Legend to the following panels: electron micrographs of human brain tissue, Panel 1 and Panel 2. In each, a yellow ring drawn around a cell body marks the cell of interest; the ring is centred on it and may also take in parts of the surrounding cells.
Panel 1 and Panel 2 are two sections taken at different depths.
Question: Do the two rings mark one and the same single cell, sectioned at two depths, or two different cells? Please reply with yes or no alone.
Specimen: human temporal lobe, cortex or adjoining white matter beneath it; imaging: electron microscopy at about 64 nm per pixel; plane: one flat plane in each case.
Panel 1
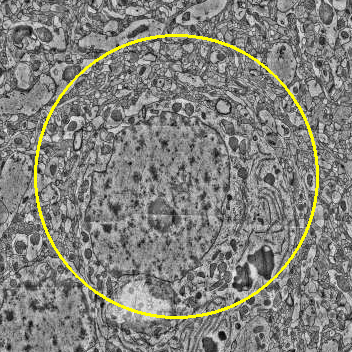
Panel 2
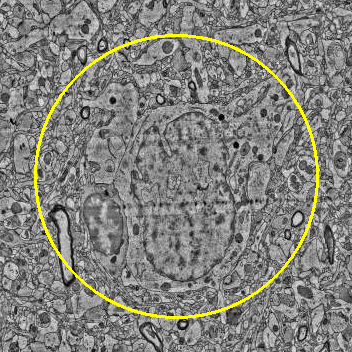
no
